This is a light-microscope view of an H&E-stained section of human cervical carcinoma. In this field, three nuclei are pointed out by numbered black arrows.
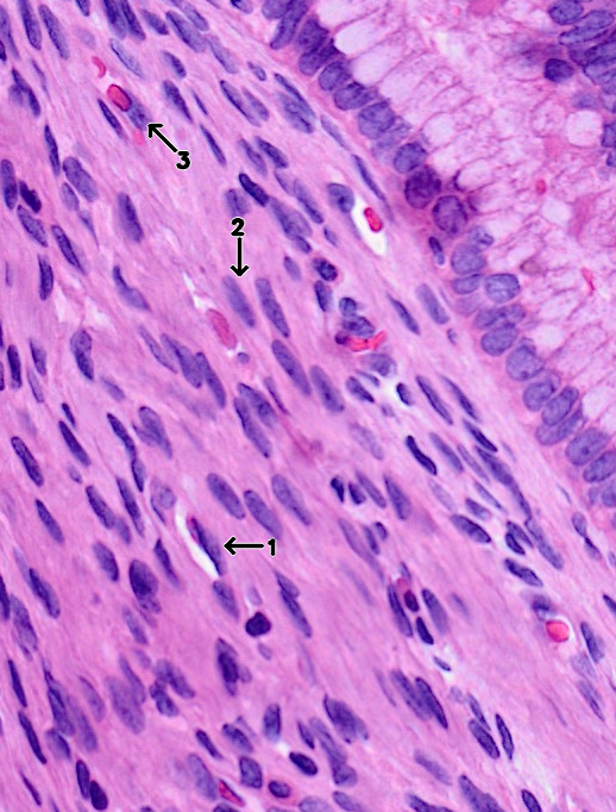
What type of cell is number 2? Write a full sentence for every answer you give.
The cell indicated by marker 2 is a fibroblast in this section.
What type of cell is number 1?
Denoted by the label 1 in the section is an endothelial cell.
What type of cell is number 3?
Looking at the numbered marks, cell 3 is an endothelial cell.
